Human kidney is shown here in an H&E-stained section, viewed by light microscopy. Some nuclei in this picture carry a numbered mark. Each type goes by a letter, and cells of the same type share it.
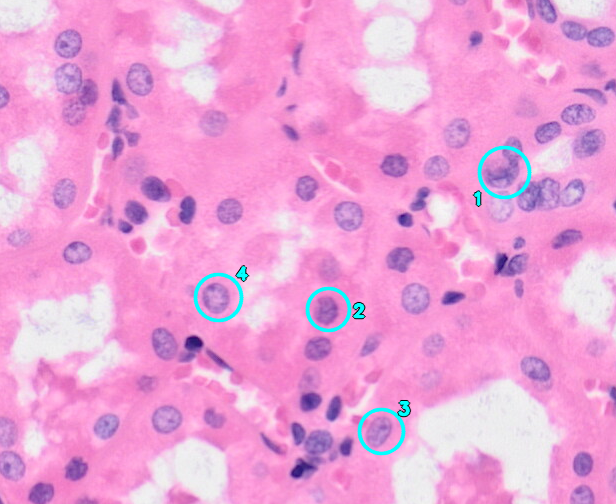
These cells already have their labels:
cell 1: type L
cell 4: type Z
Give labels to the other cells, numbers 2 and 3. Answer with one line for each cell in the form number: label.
2: type Z
3: type Z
